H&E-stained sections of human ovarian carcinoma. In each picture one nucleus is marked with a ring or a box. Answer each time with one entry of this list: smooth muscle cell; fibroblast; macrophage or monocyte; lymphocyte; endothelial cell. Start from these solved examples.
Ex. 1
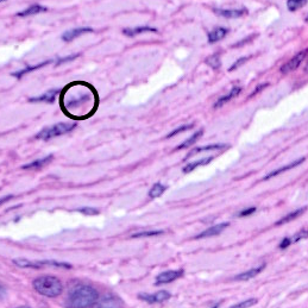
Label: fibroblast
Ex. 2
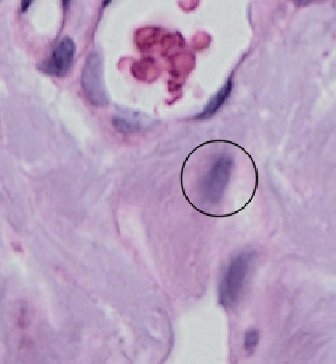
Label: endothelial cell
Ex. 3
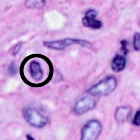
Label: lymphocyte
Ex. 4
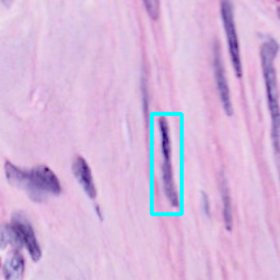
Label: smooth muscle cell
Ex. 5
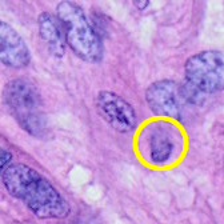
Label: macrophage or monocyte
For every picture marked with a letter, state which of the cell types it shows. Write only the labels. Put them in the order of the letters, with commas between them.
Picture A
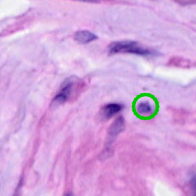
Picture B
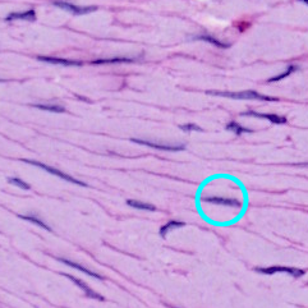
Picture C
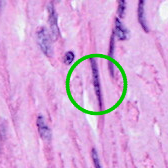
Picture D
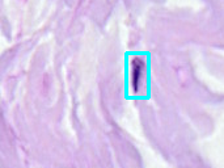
smooth muscle cell, fibroblast, fibroblast, fibroblast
